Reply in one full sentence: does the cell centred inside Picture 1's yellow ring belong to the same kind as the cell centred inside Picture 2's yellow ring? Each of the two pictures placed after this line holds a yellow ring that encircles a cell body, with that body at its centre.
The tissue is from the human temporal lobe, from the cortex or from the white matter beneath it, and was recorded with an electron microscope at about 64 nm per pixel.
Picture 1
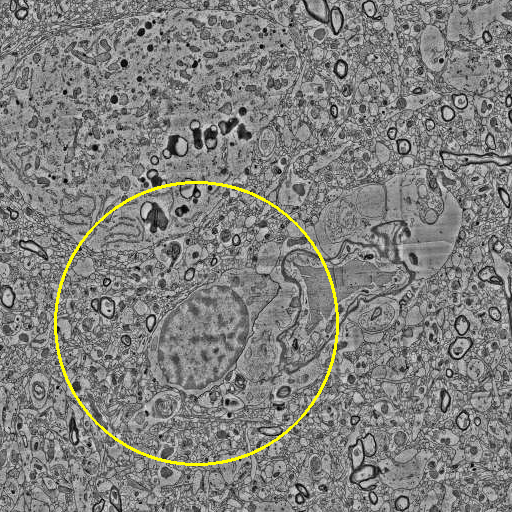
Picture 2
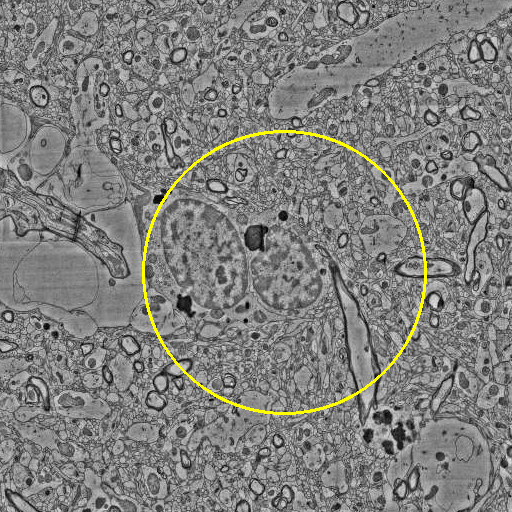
Yes, the ring-centred cells in Picture 1 and Picture 2 are of one and the same kind.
